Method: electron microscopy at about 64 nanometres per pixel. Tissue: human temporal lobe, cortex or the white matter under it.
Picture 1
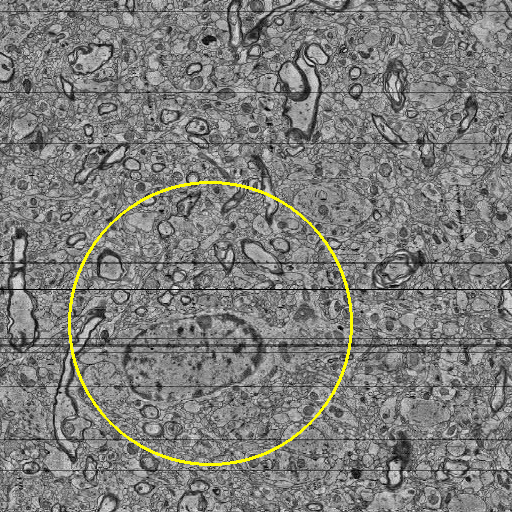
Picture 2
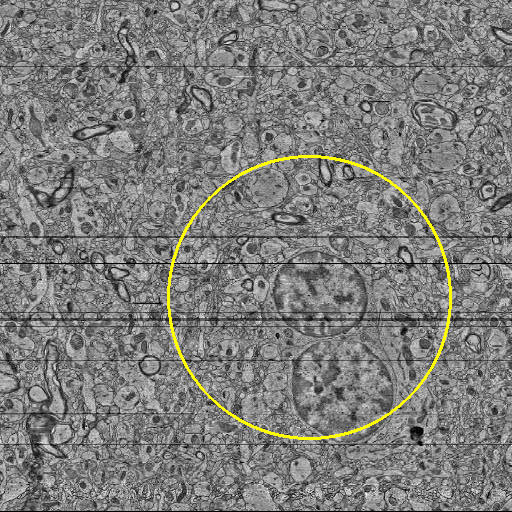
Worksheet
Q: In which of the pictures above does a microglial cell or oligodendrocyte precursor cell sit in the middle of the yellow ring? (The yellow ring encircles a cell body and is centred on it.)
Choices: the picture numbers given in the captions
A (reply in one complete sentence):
In picture 1, the cell sitting at the centre of the ring is the match.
